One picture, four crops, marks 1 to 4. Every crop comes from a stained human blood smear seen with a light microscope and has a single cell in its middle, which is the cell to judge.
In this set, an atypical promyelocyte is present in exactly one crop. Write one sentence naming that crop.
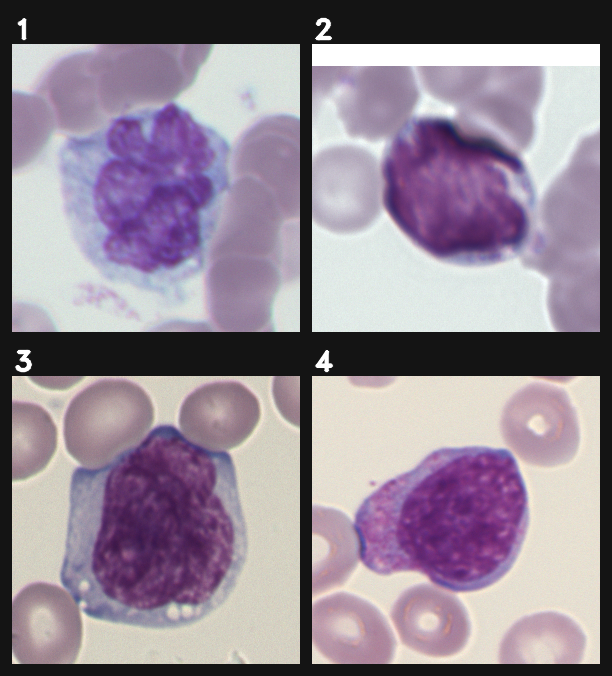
Crop 4 is the right one; it is the crop showing an atypical promyelocyte.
